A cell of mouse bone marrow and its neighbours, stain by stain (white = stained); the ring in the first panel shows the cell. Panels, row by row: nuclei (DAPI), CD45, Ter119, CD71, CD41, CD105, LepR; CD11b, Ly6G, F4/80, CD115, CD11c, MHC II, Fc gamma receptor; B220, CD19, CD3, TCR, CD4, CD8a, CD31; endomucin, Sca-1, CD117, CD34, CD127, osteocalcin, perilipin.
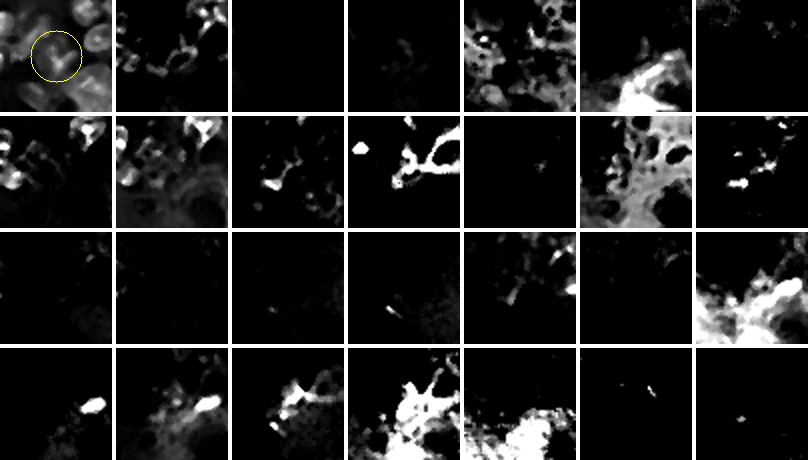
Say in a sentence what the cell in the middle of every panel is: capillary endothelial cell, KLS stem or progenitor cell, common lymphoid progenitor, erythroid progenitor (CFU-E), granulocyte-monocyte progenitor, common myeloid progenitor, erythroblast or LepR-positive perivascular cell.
This is a granulocyte-monocyte progenitor.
